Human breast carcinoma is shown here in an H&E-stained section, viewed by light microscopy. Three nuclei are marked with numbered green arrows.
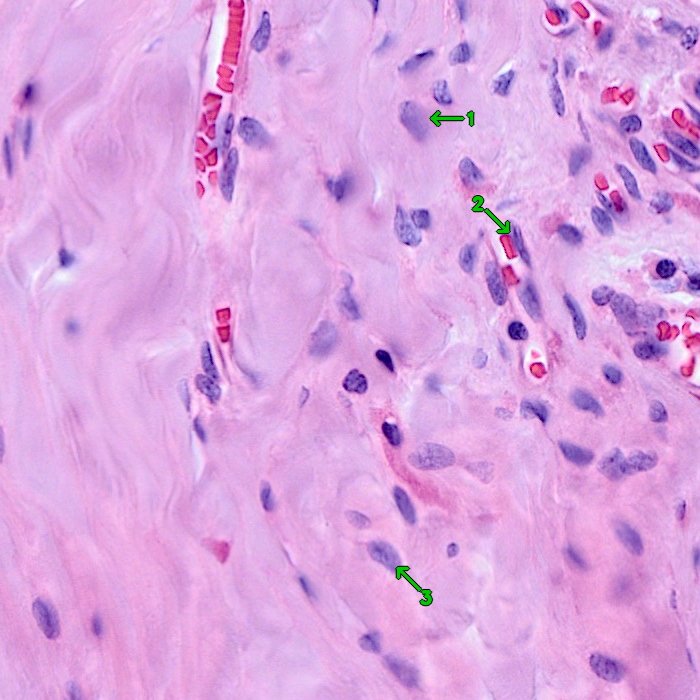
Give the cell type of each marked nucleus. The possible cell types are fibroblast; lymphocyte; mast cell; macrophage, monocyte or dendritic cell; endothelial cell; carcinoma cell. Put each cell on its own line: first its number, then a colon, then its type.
1: fibroblast
2: endothelial cell
3: fibroblast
